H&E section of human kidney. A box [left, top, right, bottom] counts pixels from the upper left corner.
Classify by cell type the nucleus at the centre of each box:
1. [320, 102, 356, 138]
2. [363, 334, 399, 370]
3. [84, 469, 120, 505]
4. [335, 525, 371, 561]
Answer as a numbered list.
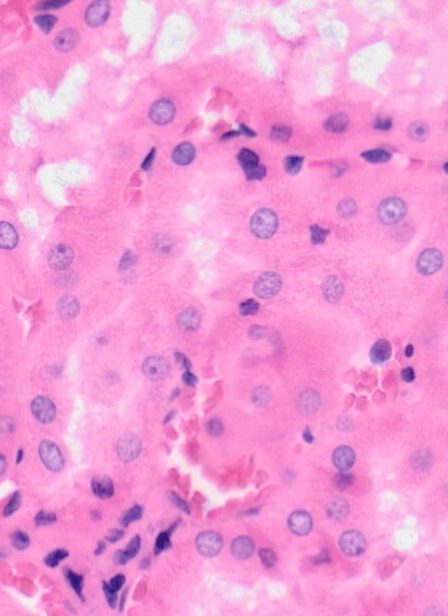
1. proximal tubule cell
2. endothelial cell
3. proximal tubule cell
4. proximal tubule cell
